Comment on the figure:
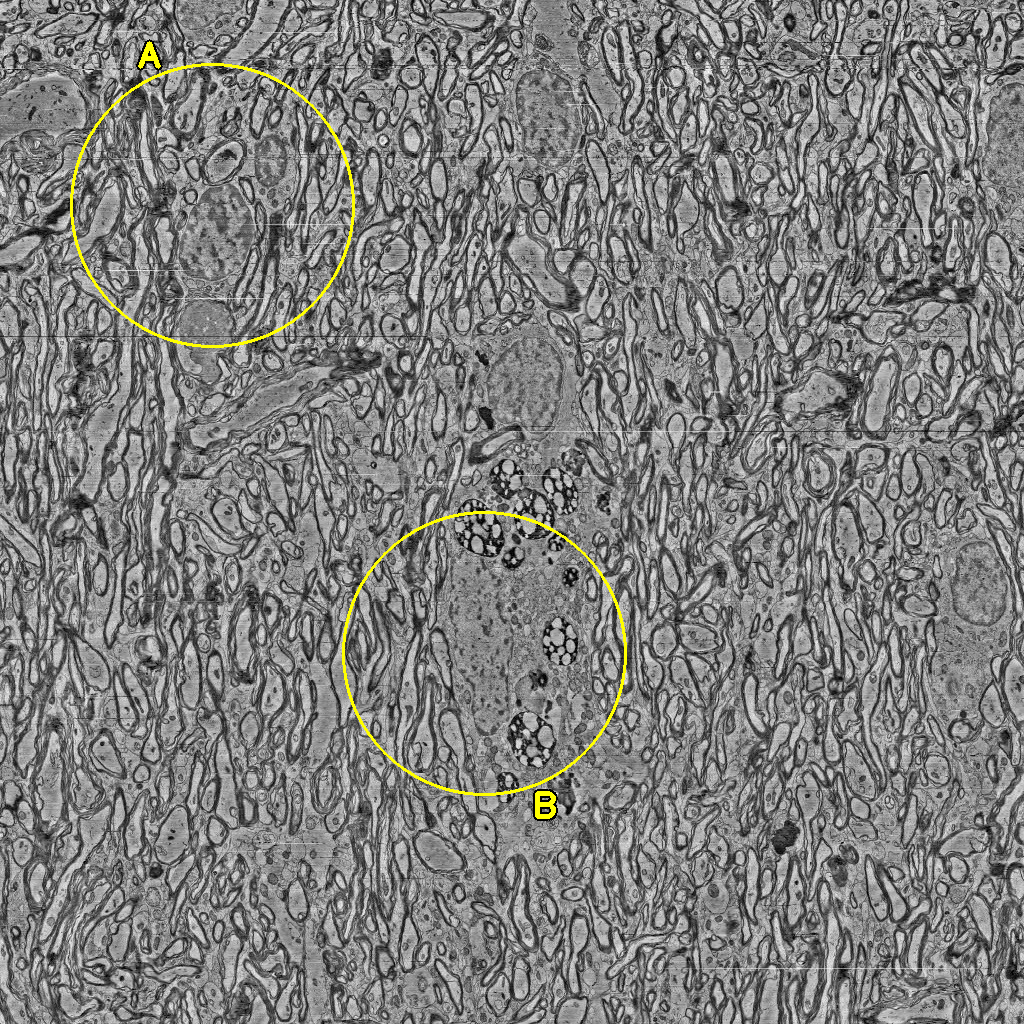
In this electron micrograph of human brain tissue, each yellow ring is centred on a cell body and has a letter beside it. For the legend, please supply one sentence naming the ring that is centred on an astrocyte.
Ring B is centred on that cell.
